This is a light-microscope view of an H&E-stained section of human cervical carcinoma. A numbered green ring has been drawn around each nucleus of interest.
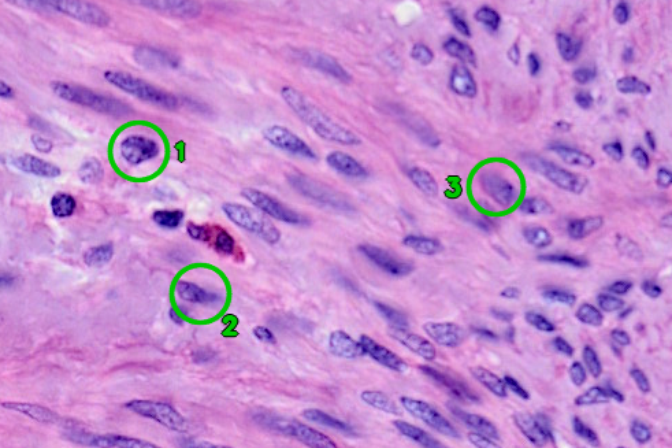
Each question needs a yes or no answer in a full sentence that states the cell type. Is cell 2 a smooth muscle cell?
No, the identification of cell 2 as a smooth muscle cell is incorrect; it is a fibroblast.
